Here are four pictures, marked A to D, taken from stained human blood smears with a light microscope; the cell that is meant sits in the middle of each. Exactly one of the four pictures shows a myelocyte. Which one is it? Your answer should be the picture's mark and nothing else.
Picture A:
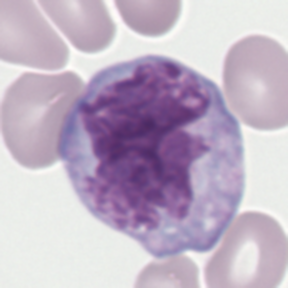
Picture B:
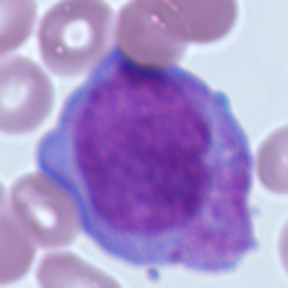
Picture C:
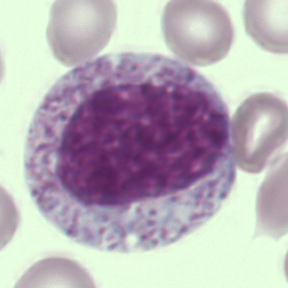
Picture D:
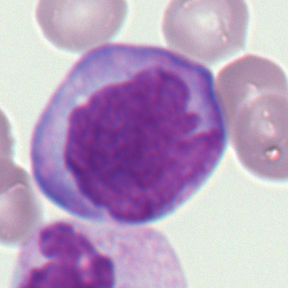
C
